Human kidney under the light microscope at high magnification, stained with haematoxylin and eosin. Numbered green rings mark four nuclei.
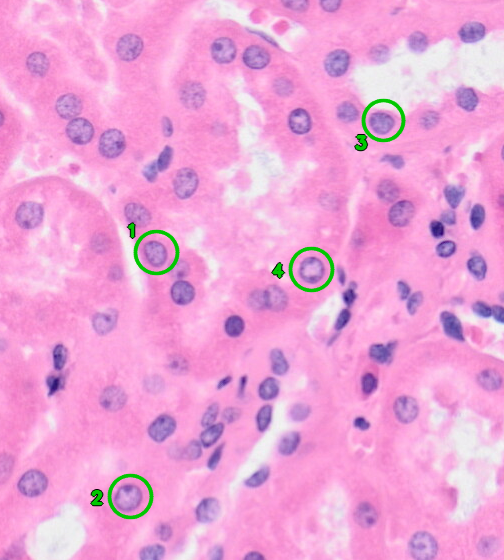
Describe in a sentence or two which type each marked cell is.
Cell 1 is a proximal tubule cell, cell 2 is a proximal tubule cell, cell 3 is a loop of Henle or distal tubule cell and cell 4 is a proximal tubule cell.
